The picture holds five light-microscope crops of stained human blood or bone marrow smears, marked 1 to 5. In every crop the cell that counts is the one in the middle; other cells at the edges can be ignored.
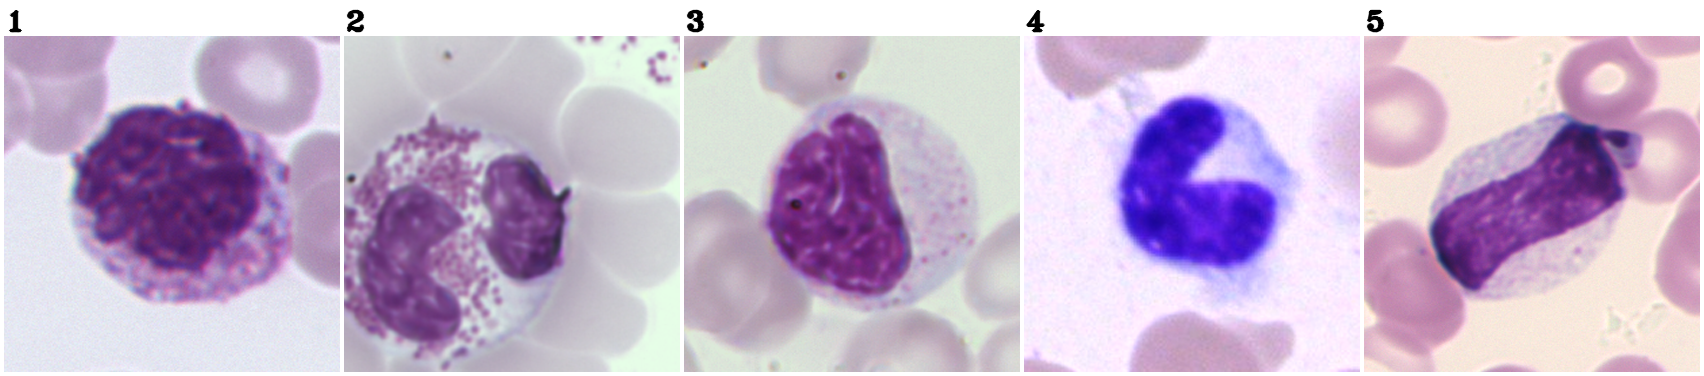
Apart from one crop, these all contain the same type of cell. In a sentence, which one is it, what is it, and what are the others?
Crop 2 differs from the others in showing an eosinophil; the rest all show band neutrophils.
